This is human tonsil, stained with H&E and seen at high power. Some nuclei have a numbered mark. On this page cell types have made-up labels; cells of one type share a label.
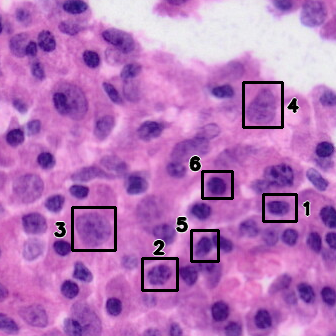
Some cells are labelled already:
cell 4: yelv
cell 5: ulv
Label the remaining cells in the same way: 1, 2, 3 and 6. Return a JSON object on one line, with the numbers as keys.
{"1": "ulv", "2": "ulv", "3": "yelv", "6": "ulv"}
